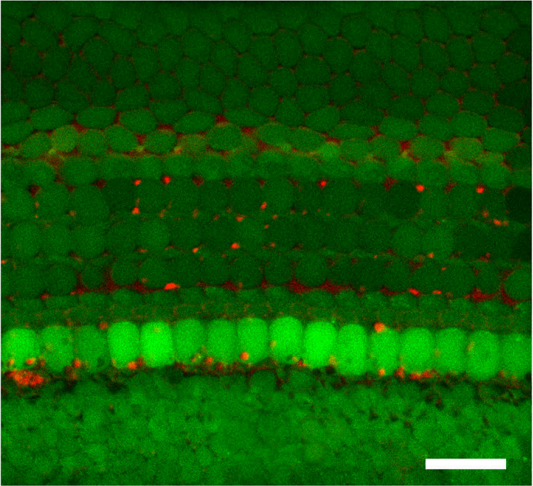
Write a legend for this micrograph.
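Surface view of the sensory epithelium of the cochlea, showing a single row of inner hair cells and rows of outer hair cells between two epithelial ridges, all filled with green. The inner hair cells form one straight row of rounded, very bright green cells. Above them lie rows of dimmer, rounded outer hair cells in a regular mosaic, and further up a field of larger polygonal cells of the lesser epithelial ridge. Below the inner hair cells a finely packed field of small cells forms the greater epithelial ridge. Red is confined to small dots and thin seams between cells, not filling any cell.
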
